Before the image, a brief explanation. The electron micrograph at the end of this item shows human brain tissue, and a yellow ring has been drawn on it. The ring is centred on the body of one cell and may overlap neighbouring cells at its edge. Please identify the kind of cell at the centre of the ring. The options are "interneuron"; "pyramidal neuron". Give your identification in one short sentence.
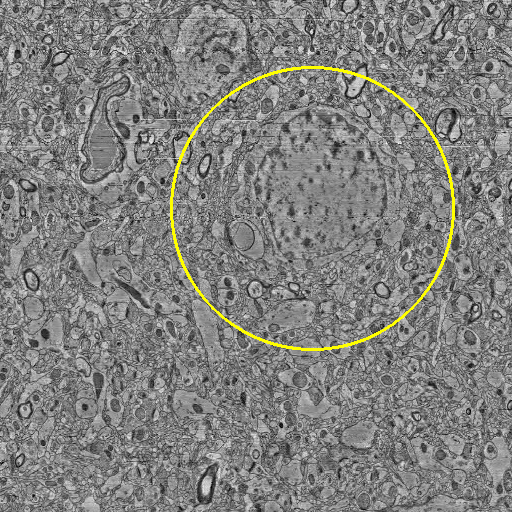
The ring has been placed around an interneuron.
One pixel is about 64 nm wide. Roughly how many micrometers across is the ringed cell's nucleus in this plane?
In this plane the nucleus measures roughly 9 micrometres across.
